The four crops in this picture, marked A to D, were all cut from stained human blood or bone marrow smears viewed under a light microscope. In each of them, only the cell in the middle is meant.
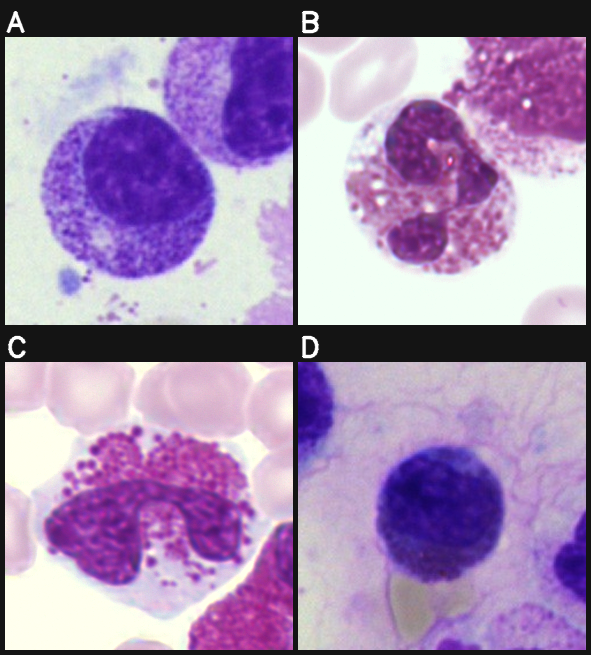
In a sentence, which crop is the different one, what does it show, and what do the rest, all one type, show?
Crop A alone shows a myelocyte; the other crops are all eosinophils.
